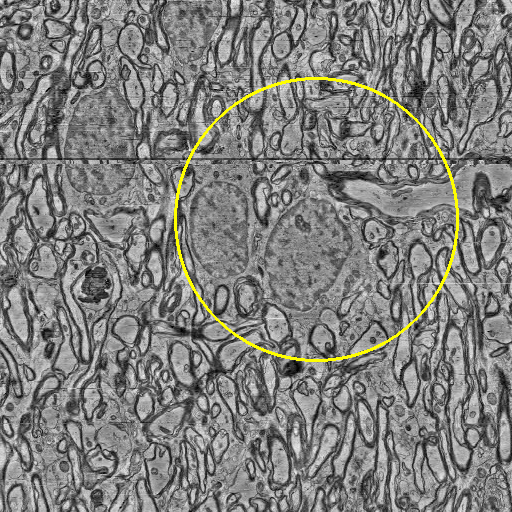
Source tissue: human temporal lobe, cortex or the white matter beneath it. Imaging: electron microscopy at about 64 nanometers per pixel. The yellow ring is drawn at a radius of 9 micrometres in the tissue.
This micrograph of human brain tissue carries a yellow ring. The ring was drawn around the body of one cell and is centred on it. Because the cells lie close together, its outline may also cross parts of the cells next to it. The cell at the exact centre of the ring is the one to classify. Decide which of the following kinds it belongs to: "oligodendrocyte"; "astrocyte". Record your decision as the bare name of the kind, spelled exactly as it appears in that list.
oligodendrocyte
